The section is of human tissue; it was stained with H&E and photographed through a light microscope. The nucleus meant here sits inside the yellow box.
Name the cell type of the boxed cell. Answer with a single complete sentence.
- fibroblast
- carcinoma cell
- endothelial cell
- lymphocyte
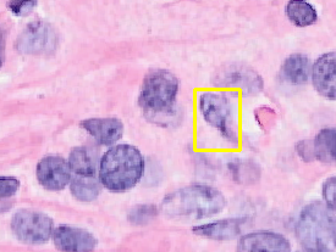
The cell meant here is an endothelial cell.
